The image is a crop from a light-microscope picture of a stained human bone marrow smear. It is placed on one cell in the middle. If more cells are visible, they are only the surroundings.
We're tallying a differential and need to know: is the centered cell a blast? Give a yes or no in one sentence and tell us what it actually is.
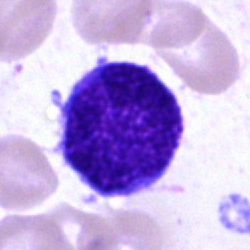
Yes, a blast is present in the middle of the crop.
